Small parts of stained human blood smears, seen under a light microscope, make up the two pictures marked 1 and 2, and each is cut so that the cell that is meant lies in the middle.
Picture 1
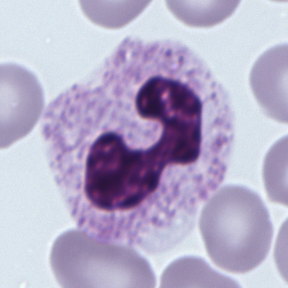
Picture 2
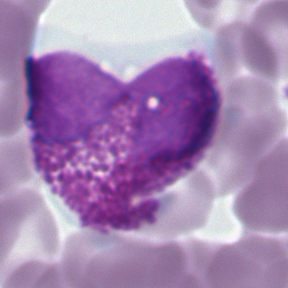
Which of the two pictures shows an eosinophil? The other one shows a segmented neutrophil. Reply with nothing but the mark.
2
